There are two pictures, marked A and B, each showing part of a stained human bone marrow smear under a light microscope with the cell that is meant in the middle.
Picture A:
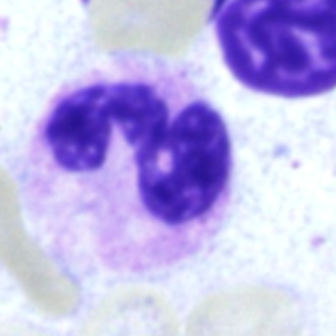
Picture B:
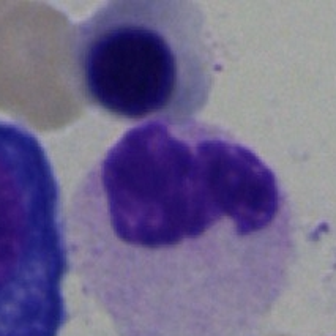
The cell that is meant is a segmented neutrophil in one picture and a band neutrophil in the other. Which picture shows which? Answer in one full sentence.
It is picture A that shows a segmented neutrophil, and picture B that shows a band neutrophil.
